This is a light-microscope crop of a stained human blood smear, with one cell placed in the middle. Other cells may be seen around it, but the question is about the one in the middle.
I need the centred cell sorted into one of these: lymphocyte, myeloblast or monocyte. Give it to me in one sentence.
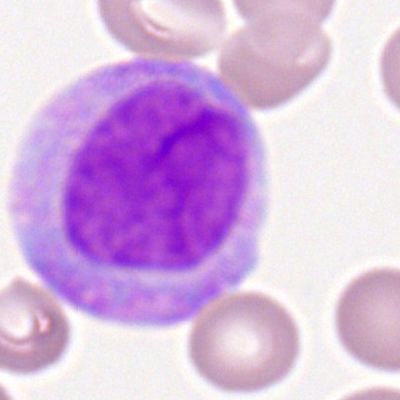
At the center of the crop sits a monocyte.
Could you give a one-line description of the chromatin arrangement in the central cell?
The chromatin is fine, with no coarse clumping anywhere.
